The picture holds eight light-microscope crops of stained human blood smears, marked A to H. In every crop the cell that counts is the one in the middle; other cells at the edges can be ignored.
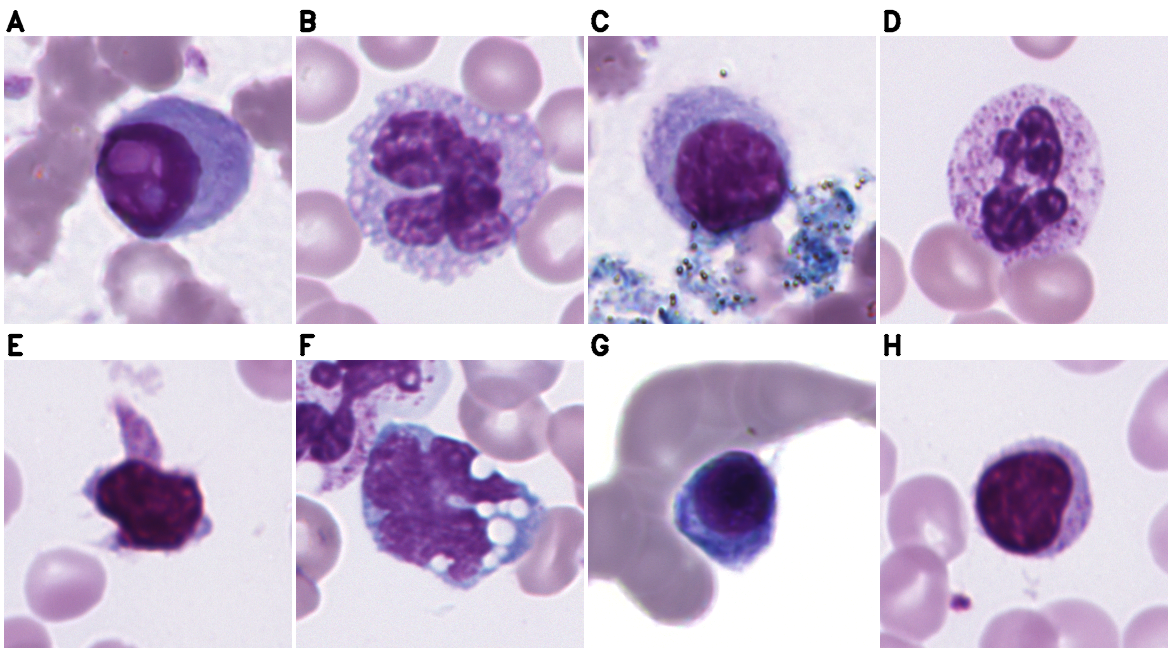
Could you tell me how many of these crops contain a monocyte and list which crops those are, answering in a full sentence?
Crops labelled B and F show monocytes, which makes two crops.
